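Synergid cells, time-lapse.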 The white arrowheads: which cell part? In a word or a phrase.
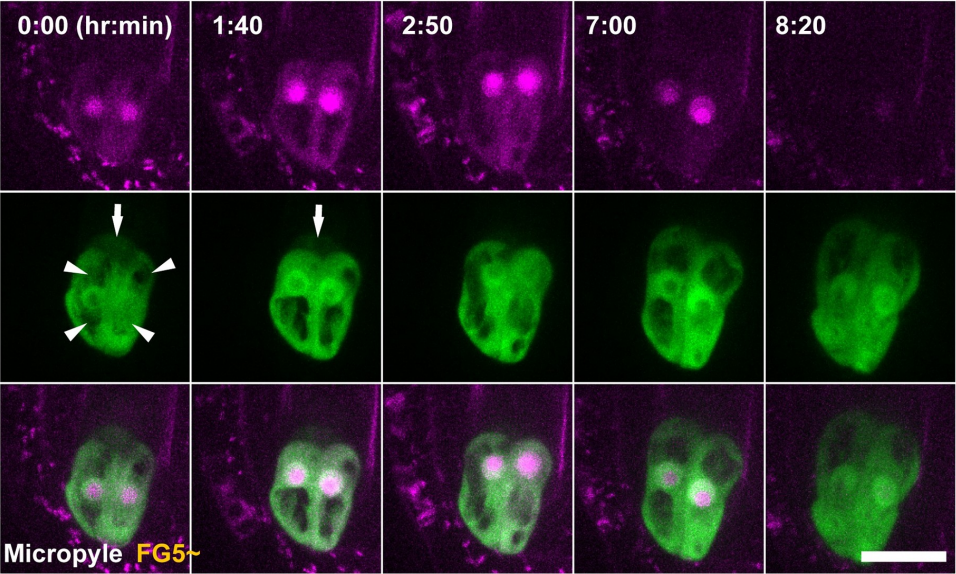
vacuoles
